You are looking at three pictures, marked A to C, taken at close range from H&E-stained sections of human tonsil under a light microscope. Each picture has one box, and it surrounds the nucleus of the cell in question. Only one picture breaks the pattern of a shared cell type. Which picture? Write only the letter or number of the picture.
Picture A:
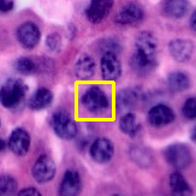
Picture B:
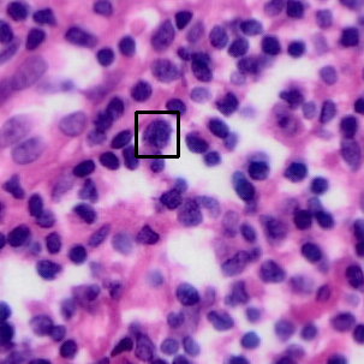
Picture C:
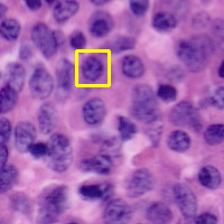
B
